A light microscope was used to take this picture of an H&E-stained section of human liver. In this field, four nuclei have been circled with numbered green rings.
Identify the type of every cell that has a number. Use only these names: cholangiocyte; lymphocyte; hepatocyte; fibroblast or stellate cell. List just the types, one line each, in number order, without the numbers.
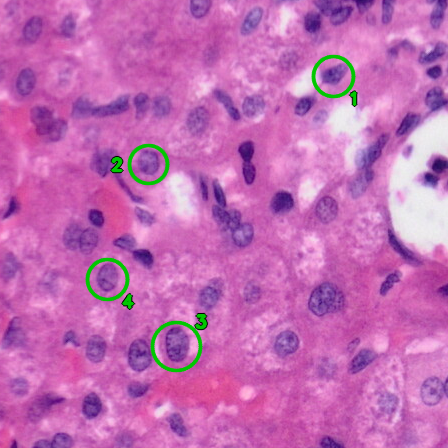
fibroblast or stellate cell
hepatocyte
hepatocyte
hepatocyte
